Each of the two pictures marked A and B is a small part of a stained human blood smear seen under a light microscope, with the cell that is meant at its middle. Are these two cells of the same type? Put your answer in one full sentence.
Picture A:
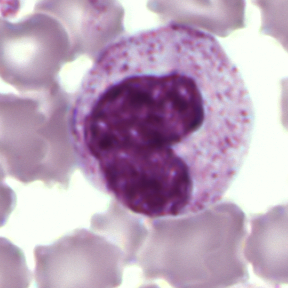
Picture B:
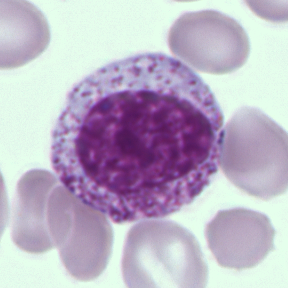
Yes, both cells are metamyelocytes.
